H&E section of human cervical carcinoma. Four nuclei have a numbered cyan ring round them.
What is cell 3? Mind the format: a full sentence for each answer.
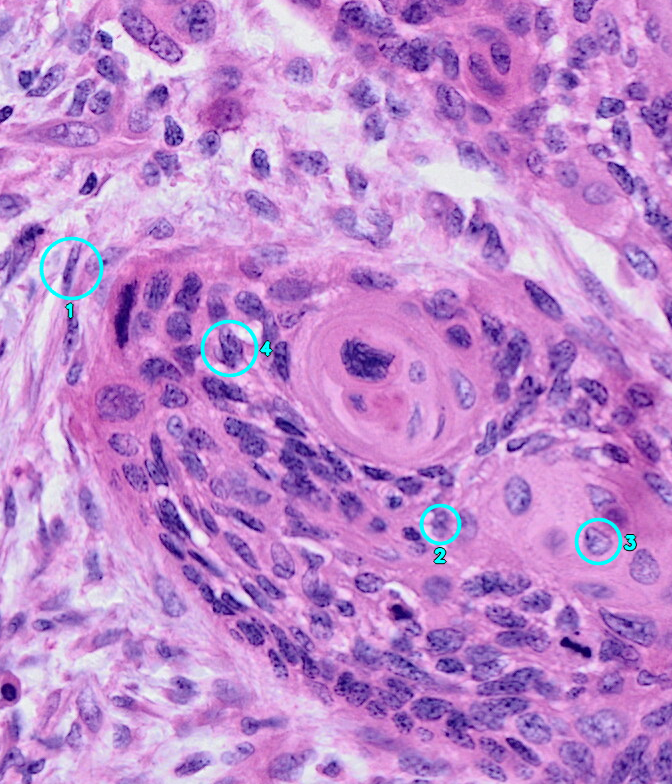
The cell to which the number 3 is assigned is a squamous carcinoma cell.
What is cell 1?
Among the marked cells, number 1 is a fibroblast.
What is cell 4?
The identity of cell 4 is that of a squamous carcinoma cell.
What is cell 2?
In this section, the cell numbered 2 is a squamous carcinoma cell.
